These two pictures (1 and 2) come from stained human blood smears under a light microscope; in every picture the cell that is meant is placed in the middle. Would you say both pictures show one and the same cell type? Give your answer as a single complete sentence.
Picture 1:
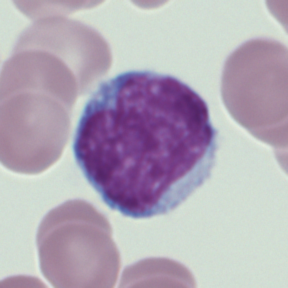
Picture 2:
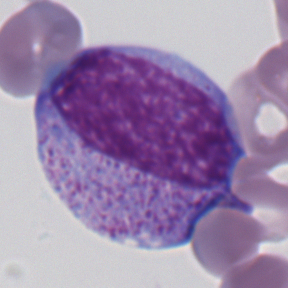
No; the cell in picture 1 is a monocyte, while the one in picture 2 is a promyelocyte.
